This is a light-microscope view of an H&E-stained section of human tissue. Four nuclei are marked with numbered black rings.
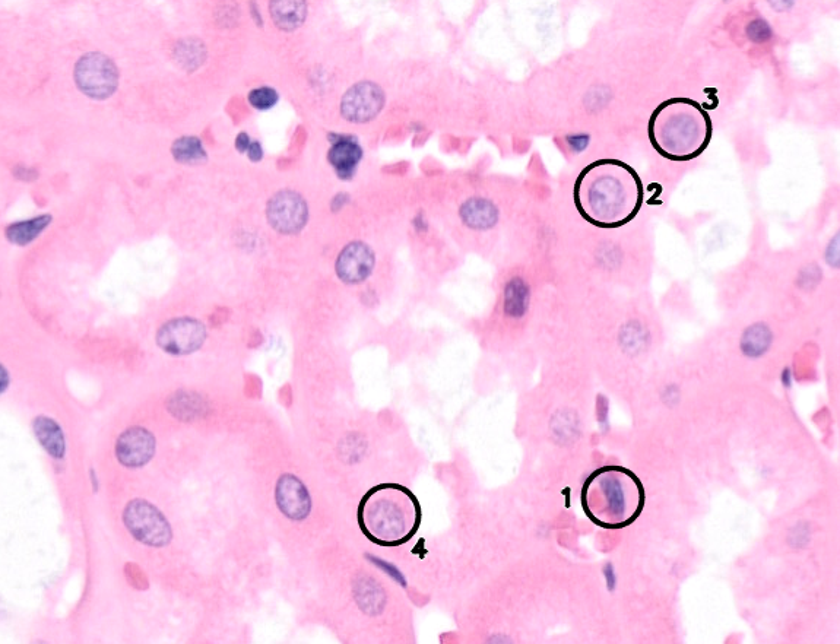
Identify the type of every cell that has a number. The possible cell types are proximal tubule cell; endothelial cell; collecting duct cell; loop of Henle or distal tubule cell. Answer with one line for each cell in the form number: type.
1: endothelial cell
2: proximal tubule cell
3: proximal tubule cell
4: proximal tubule cell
